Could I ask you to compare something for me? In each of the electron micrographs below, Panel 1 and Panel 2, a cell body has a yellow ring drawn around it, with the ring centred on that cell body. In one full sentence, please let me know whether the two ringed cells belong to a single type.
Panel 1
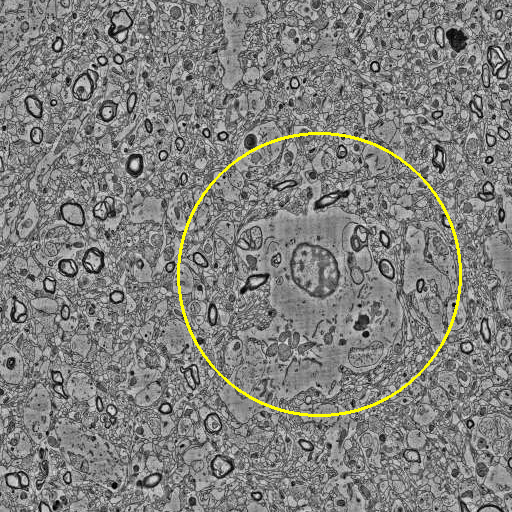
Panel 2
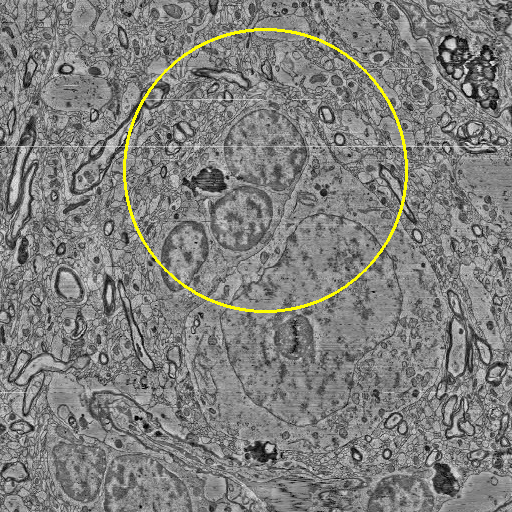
No, the two cells at the centres of the rings are of two types.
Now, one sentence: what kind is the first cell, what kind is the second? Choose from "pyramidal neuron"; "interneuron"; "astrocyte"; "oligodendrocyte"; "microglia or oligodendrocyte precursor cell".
The first picture has an astrocyte at its ring centre, and the second has an oligodendrocyte.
